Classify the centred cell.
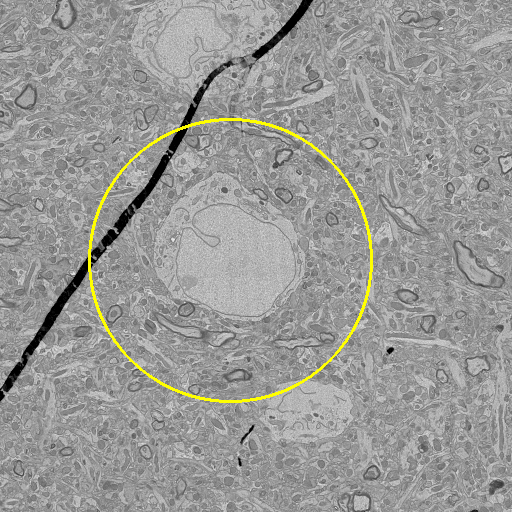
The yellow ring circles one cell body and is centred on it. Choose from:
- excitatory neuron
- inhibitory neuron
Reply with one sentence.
The ring is centred on an excitatory neuron.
